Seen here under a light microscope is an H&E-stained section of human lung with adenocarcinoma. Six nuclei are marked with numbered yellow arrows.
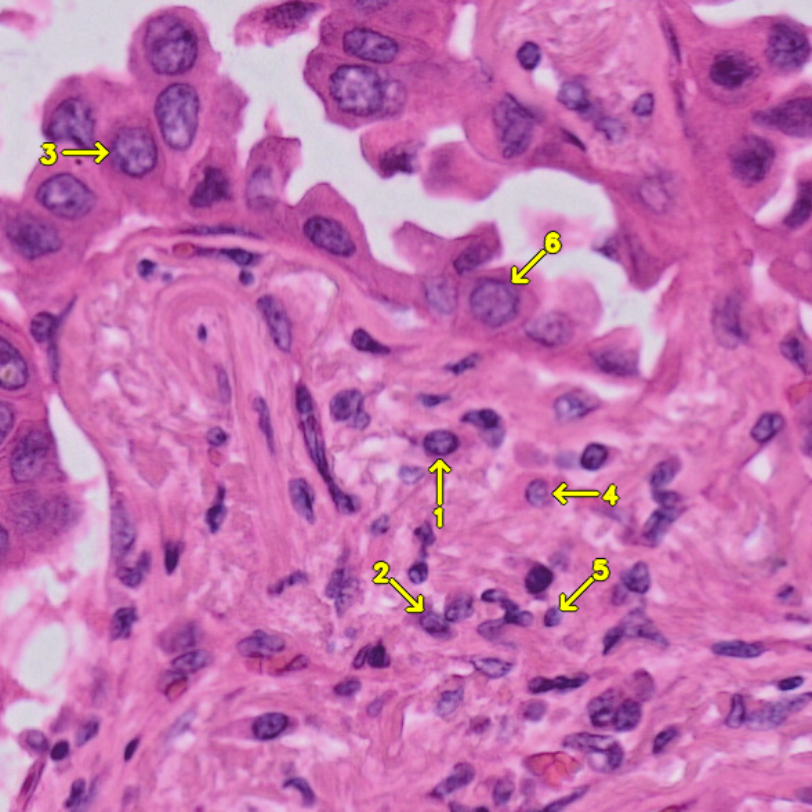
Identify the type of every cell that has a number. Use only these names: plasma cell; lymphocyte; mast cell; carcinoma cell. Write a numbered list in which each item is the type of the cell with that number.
1. plasma cell
2. plasma cell
3. carcinoma cell
4. mast cell
5. lymphocyte
6. carcinoma cell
